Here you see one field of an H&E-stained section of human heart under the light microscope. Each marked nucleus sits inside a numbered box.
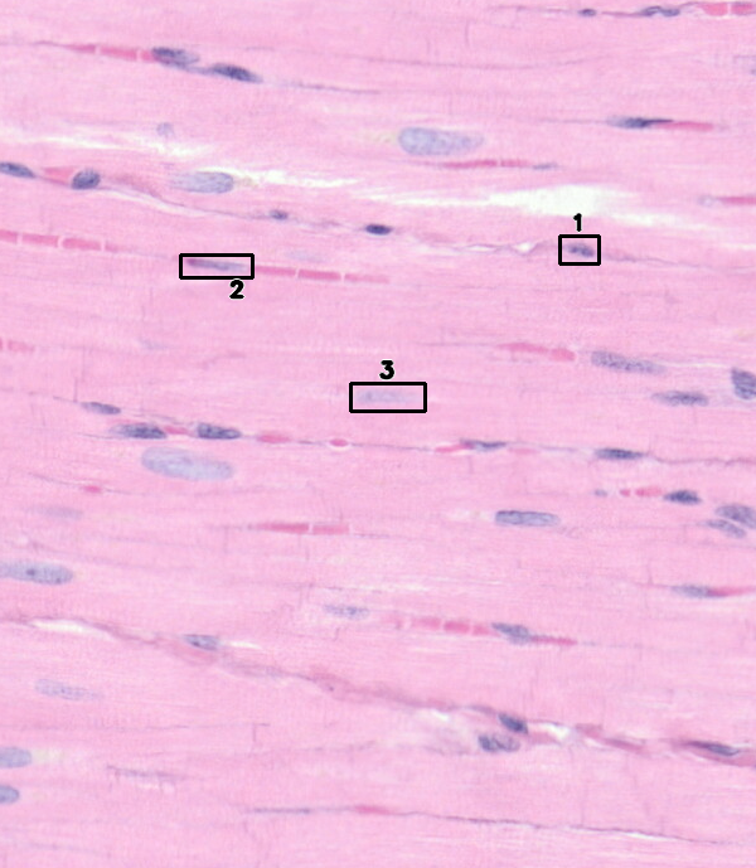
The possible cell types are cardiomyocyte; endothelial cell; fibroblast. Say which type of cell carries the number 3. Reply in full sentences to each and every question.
The cell numbered 3 represents a cardiomyocyte.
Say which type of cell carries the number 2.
The numeral 2 marks an endothelial cell in this section.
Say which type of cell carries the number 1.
The nucleus marked 1 is the nucleus of an endothelial cell.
